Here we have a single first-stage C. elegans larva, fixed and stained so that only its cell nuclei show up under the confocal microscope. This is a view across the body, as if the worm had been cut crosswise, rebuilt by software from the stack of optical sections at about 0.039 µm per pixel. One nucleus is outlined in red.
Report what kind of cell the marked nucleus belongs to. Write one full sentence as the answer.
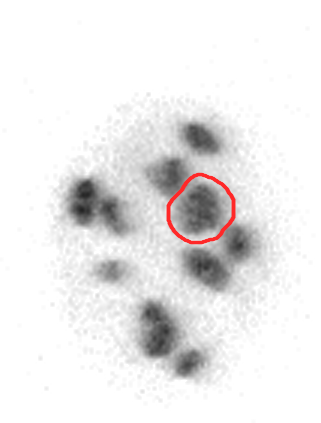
The nucleus comes from a pharyngeal muscle cell.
